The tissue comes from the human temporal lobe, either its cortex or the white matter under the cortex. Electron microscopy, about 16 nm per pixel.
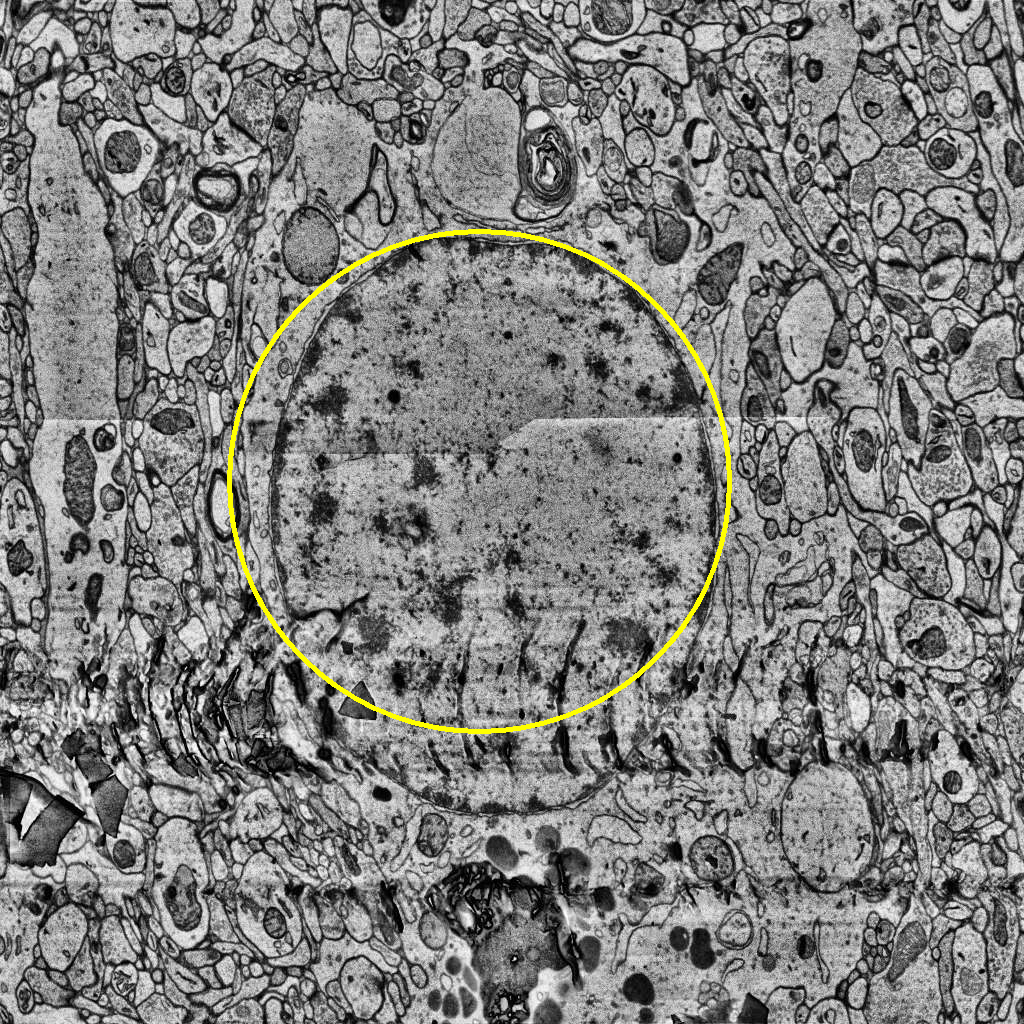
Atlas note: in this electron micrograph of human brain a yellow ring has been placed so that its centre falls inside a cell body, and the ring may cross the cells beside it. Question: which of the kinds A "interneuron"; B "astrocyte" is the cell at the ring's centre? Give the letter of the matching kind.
B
